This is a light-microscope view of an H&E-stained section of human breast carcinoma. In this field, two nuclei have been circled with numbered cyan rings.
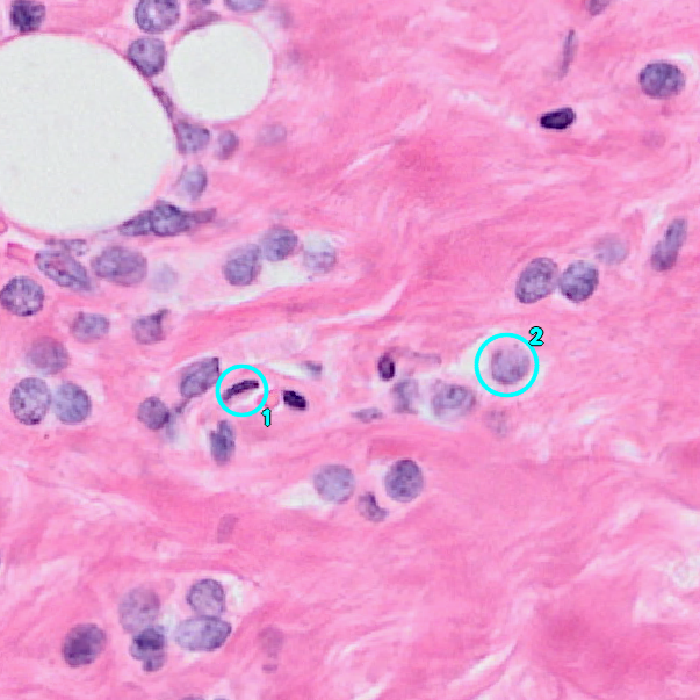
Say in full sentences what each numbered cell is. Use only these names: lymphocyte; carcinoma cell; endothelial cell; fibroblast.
Cell 1 is an endothelial cell and cell 2 is a carcinoma cell.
